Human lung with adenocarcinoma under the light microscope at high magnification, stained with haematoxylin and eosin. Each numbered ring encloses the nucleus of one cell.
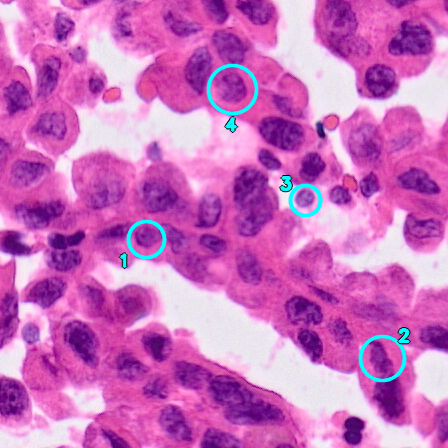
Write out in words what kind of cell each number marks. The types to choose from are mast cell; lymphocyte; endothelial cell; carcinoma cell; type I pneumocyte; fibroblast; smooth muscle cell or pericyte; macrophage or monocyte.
Cells 1, 2 and 4 are carcinoma cells. Cell 3 is a lymphocyte.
